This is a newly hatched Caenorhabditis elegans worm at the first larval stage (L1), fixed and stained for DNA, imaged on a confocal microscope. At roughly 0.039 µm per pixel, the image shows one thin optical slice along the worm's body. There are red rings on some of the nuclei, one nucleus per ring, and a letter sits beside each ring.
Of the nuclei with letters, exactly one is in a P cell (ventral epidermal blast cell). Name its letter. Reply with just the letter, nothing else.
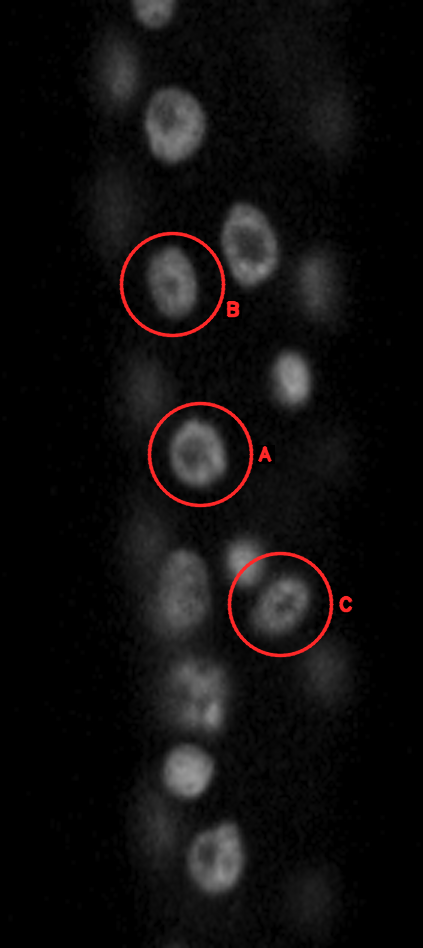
B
